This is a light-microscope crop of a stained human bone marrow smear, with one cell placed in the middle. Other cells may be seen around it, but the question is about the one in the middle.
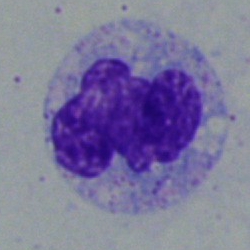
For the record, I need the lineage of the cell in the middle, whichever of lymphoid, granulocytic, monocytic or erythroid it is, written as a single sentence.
The cell occupying the center of the frame is part of the monocytic lineage.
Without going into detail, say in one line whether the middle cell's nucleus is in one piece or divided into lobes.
Rather than a single mass, the nucleus forms two or more lobes.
